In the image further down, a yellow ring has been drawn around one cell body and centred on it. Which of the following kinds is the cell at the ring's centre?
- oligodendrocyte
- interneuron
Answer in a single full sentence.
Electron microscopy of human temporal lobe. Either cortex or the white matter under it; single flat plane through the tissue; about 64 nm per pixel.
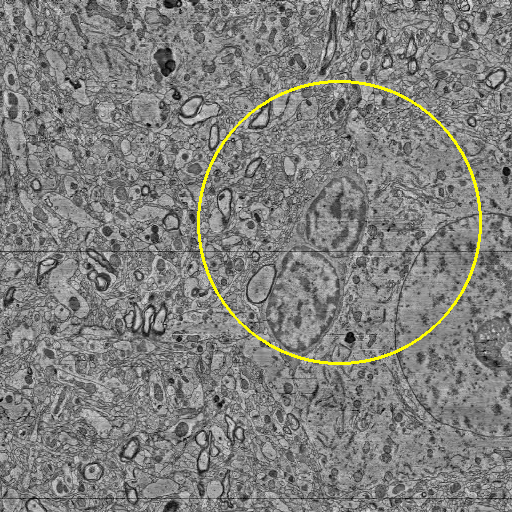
In the picture, the cell sitting at the centre of the yellow ring is an oligodendrocyte.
